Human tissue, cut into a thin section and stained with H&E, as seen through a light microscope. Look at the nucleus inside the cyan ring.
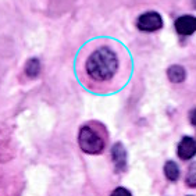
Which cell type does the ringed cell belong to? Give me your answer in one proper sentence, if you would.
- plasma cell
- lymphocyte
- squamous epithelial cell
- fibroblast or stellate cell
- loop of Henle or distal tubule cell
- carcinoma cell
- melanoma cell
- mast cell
By cell type, the ringed cell is a mast cell.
